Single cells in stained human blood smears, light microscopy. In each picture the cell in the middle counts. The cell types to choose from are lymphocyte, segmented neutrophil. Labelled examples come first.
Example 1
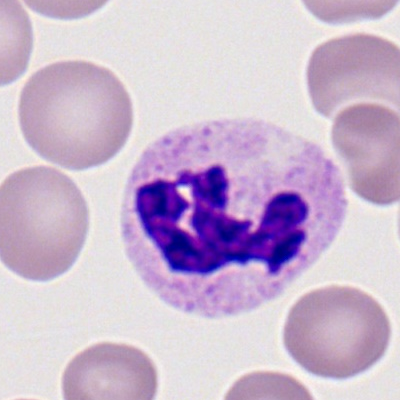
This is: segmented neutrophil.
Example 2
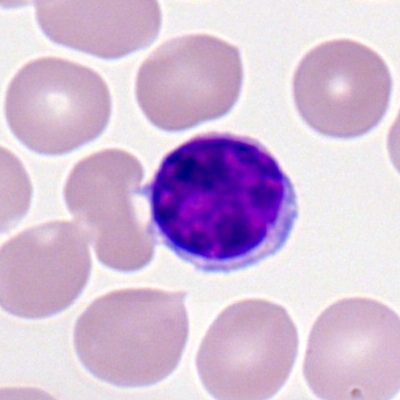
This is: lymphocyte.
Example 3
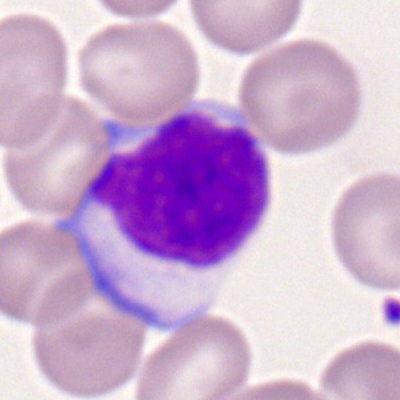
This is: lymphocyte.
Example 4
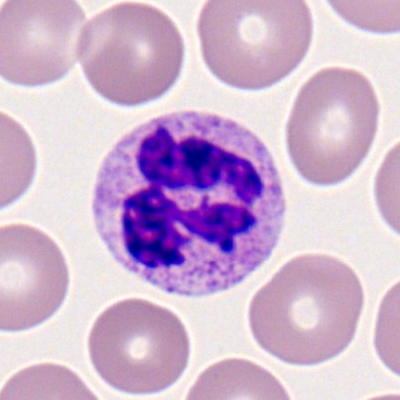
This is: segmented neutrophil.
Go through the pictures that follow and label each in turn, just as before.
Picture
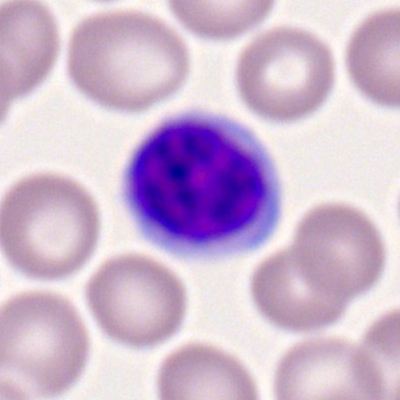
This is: lymphocyte.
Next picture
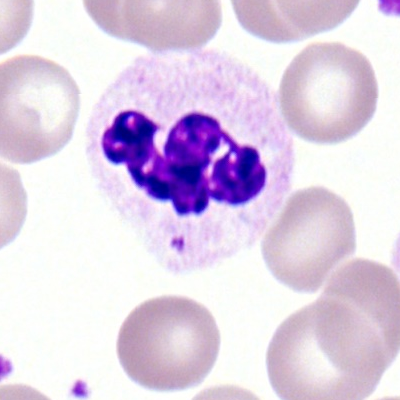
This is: segmented neutrophil.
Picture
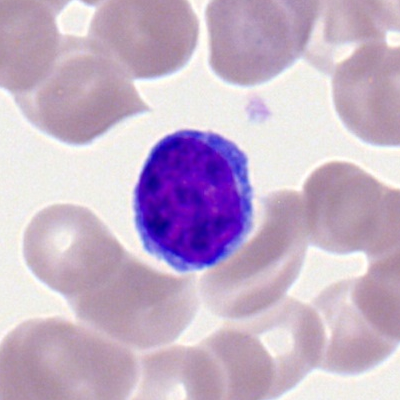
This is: lymphocyte.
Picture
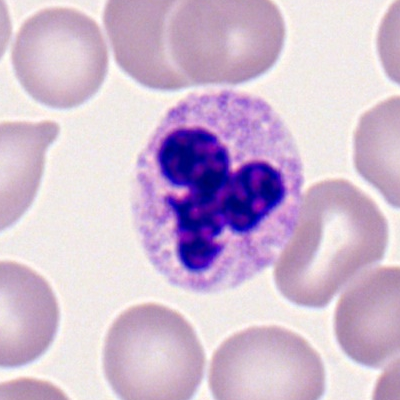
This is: segmented neutrophil.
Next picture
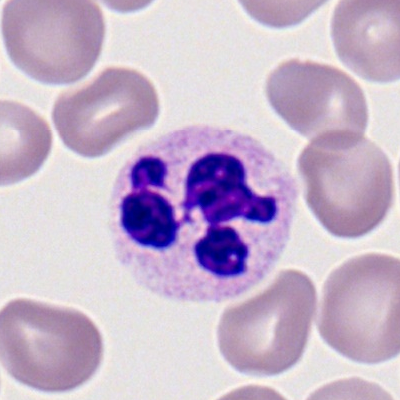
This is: segmented neutrophil.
